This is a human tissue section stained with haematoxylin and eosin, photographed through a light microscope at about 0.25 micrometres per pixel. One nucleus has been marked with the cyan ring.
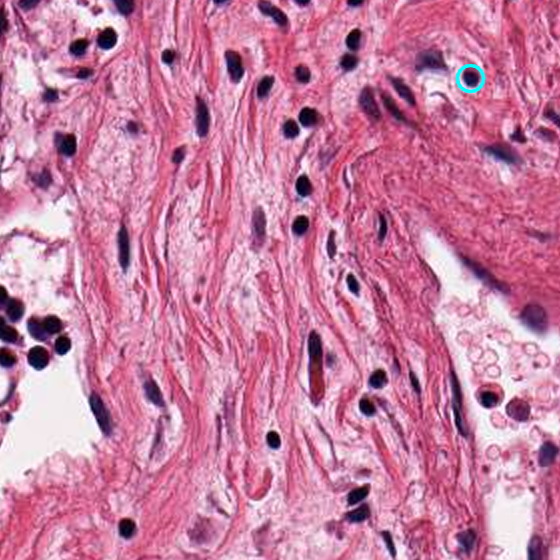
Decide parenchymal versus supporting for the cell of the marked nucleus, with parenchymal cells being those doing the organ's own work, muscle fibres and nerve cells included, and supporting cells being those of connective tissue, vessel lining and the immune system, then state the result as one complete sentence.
The marked nucleus, in this section, is the nucleus of a supporting cell.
